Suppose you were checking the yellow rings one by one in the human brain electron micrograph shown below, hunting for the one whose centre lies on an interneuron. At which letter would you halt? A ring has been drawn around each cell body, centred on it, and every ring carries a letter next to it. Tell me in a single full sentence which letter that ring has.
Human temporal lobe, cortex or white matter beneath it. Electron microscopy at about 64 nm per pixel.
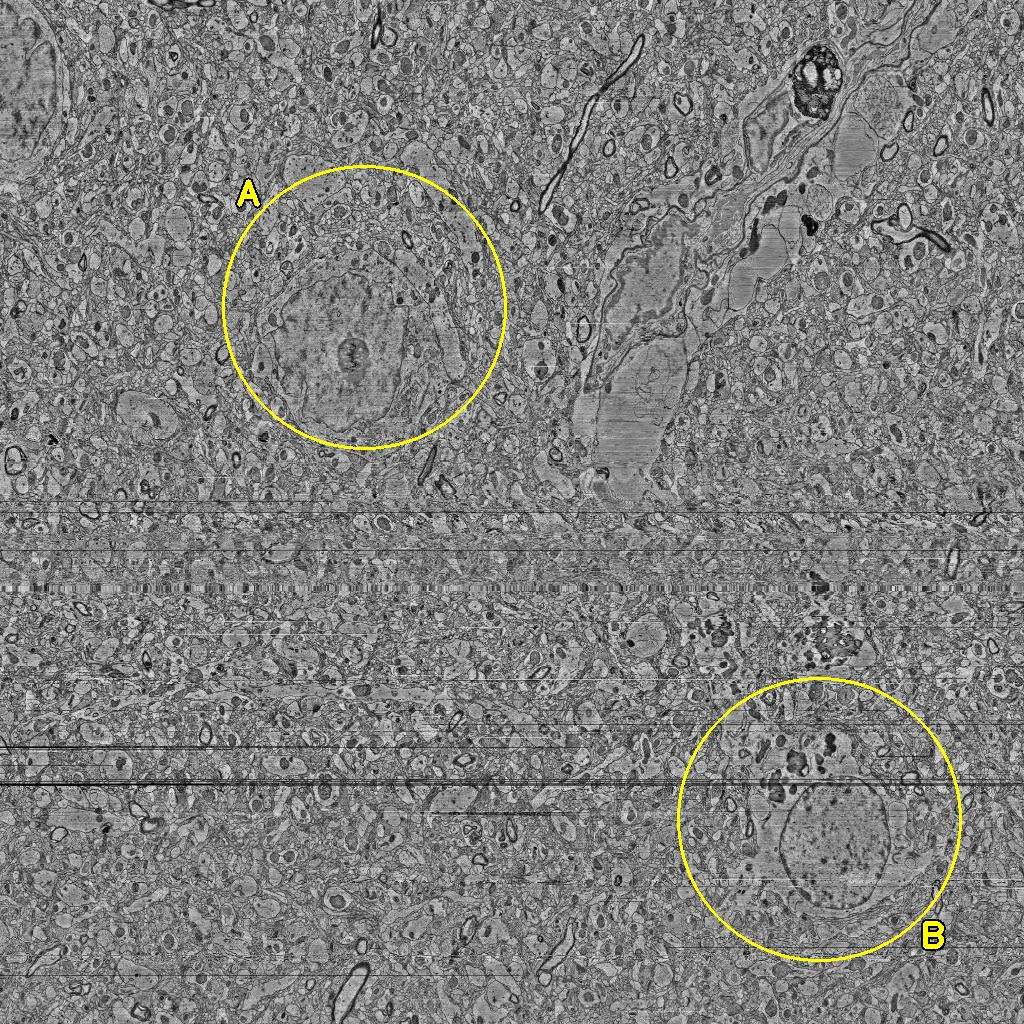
Going through the rings, I would stop at ring A, the one centred on the cell asked for.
